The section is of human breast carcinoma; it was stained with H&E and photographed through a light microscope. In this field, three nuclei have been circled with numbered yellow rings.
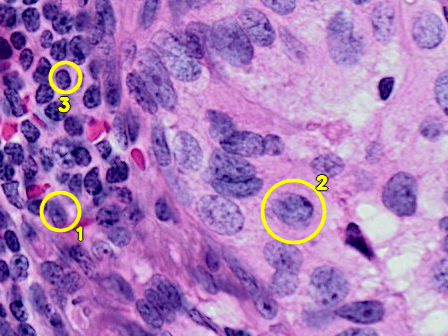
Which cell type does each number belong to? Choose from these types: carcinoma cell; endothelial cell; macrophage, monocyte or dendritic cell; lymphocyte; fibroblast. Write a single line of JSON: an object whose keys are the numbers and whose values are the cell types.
{"1": "endothelial cell", "2": "carcinoma cell", "3": "lymphocyte"}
